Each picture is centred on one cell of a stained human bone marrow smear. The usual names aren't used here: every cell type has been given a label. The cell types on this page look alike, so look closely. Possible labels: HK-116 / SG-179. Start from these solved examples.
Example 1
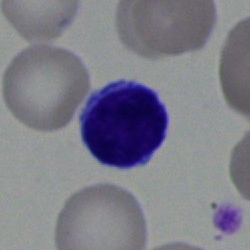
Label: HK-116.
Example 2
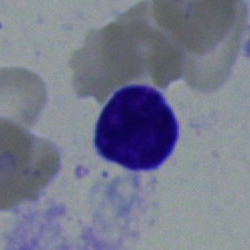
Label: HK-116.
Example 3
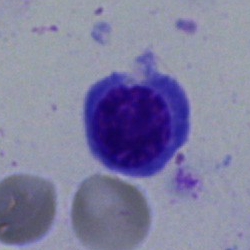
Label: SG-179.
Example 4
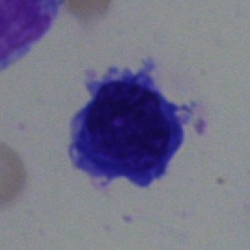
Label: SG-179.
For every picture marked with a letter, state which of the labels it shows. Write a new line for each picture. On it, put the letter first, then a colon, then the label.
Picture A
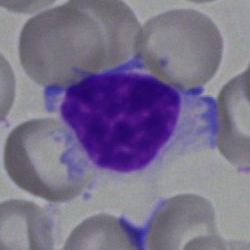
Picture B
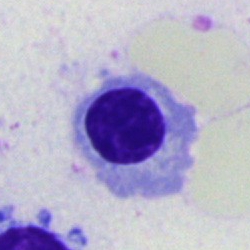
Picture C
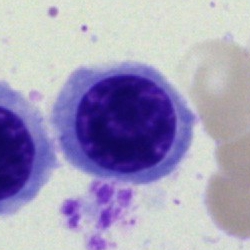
A: HK-116.
B: SG-179.
C: SG-179.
